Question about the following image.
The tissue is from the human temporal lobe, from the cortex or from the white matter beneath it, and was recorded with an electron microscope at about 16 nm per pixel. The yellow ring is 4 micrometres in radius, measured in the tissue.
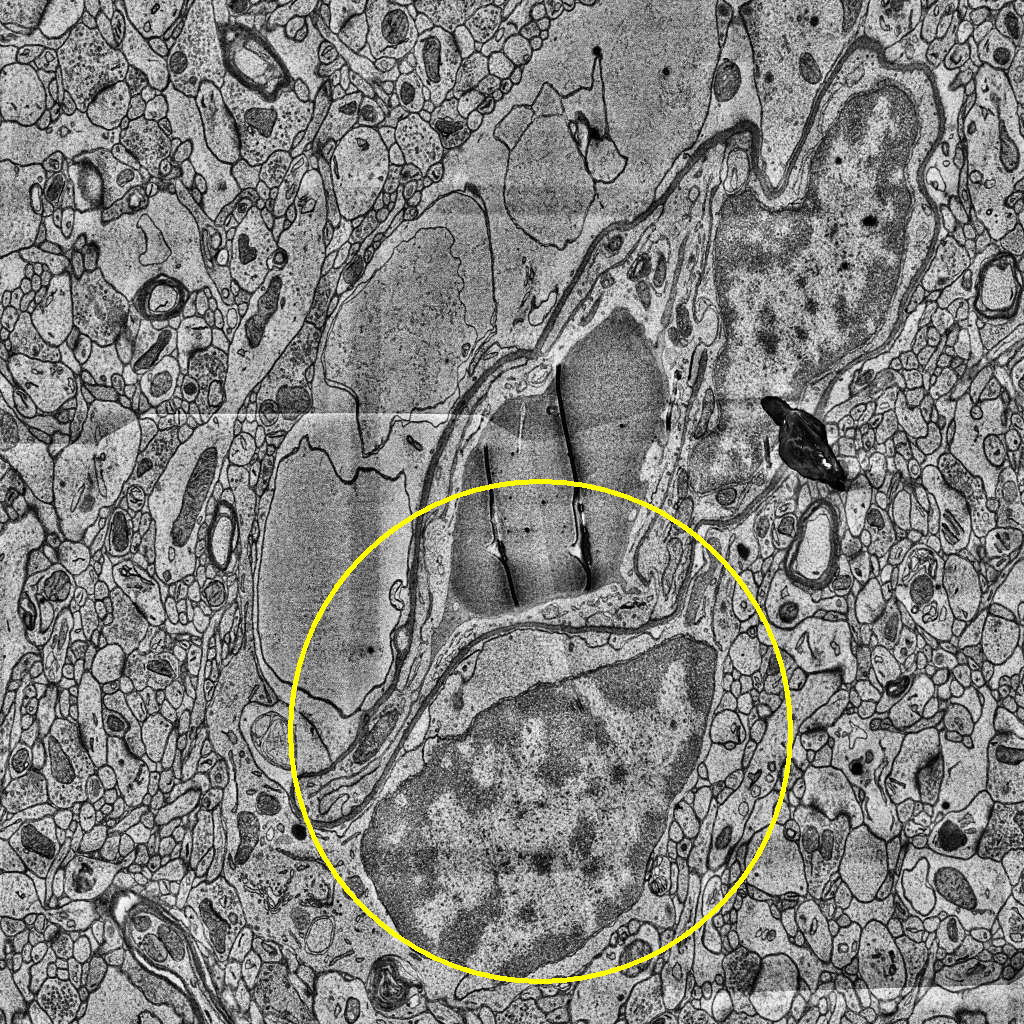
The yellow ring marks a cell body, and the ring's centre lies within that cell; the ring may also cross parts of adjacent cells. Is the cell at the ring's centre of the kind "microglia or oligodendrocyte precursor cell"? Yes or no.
Yes, it is of that kind.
